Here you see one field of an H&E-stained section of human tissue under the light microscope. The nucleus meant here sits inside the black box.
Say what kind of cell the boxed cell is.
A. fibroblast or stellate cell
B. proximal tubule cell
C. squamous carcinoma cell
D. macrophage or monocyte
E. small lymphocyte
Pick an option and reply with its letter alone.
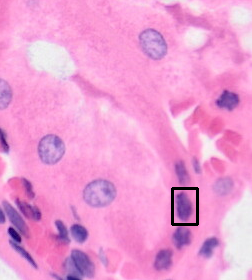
B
